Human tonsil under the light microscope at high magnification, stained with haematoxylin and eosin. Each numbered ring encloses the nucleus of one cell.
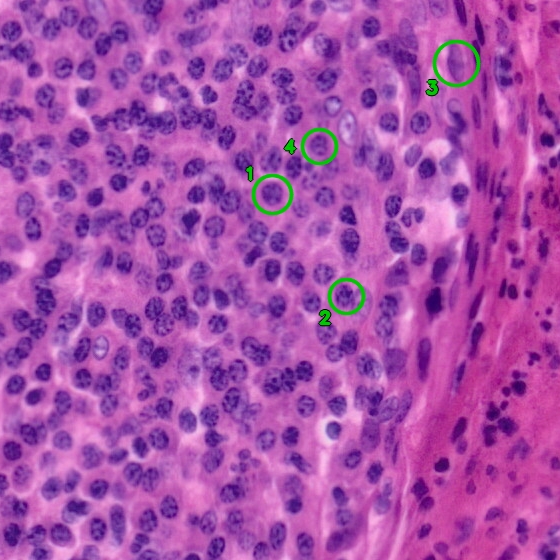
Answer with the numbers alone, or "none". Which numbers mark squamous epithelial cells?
3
